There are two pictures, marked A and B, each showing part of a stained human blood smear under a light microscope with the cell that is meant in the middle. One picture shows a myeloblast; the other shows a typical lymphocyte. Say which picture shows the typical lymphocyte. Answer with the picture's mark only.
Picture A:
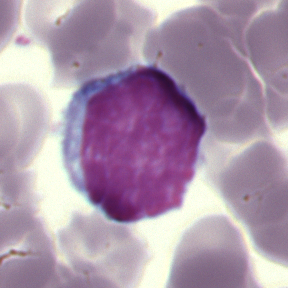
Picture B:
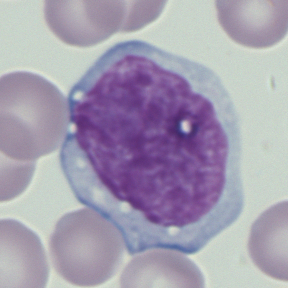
A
